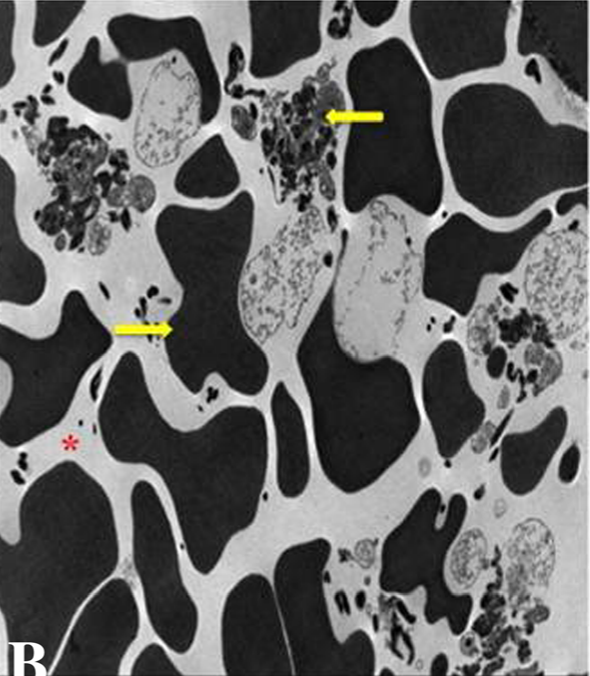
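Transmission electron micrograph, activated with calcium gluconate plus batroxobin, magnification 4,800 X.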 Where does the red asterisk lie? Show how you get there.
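The asterisk lies in a pale, nearly empty area between the dark cell profiles. On this evidence: intercellular space.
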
